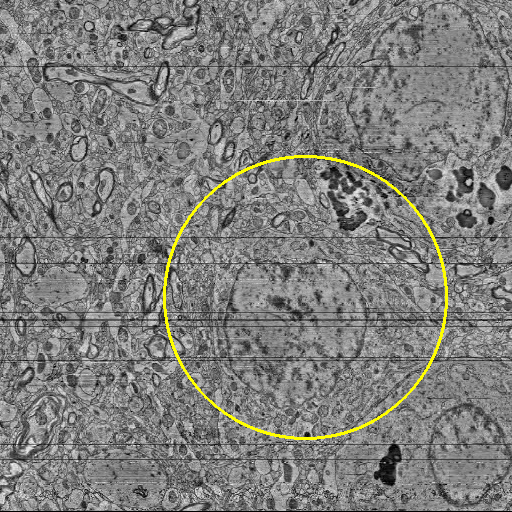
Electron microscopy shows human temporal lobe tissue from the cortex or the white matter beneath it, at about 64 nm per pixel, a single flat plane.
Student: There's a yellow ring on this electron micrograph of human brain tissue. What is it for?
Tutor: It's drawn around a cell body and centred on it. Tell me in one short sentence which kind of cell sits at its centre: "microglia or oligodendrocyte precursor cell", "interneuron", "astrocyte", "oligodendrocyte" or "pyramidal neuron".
The cell at the centre of the ring is an interneuron.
